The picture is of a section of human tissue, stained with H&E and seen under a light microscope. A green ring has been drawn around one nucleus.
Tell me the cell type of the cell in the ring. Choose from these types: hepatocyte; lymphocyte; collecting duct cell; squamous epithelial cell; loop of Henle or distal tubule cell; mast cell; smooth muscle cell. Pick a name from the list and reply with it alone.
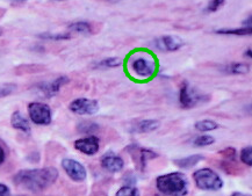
lymphocyte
